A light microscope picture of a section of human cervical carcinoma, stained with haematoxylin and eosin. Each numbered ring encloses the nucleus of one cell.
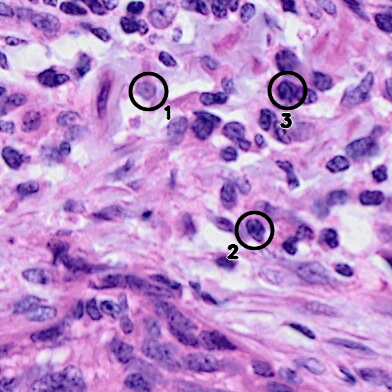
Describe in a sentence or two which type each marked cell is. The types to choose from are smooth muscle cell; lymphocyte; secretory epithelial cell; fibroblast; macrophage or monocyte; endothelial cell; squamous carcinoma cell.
Cell 1 is a macrophage or monocyte. Cells 2 and 3 are lymphocytes.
